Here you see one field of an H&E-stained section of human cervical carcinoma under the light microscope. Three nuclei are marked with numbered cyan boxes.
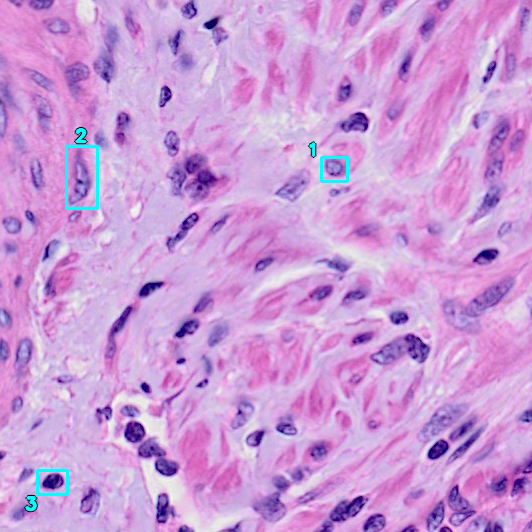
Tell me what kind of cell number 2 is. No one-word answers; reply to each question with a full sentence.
The cell numbered 2 has been identified as a smooth muscle cell.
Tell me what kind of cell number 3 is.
Identified by the number 3, the cell is a lymphocyte.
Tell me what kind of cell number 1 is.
The cell tagged with 1 in this tissue section is a smooth muscle cell.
